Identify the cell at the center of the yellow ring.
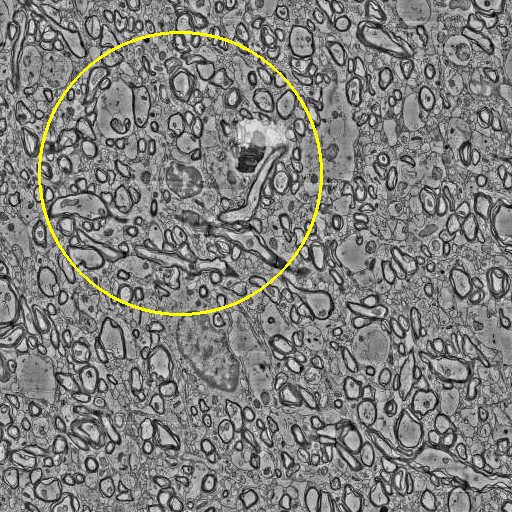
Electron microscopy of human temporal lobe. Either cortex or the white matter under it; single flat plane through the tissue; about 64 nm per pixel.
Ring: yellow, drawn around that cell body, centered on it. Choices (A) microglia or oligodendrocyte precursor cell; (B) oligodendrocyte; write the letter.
A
